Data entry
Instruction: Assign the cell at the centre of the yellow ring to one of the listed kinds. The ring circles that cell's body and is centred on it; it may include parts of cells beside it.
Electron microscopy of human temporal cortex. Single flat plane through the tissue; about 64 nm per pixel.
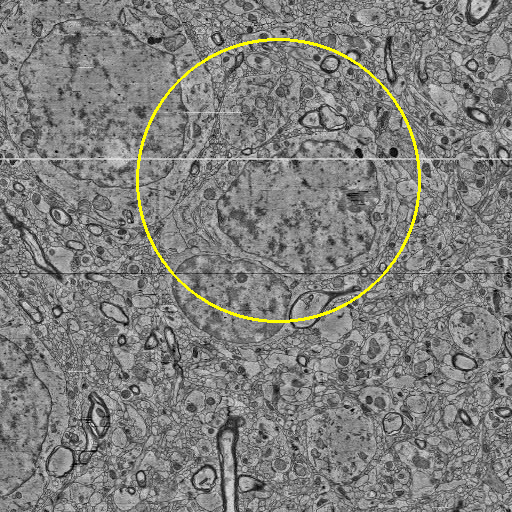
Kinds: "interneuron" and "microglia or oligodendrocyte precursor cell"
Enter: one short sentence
The centre of the ring falls on an interneuron.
